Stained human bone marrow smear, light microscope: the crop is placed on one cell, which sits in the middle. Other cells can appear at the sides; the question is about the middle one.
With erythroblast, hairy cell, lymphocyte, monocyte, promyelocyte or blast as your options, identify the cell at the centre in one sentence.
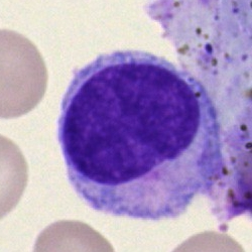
At the crop's centre, the cell is a hairy cell.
